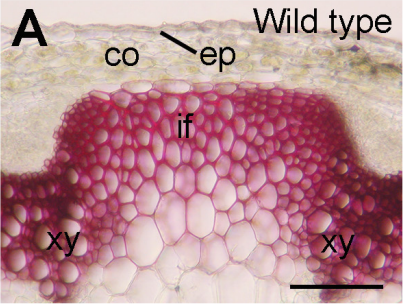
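An outer single row of small flattened cells and several rows of thin-walled, rounded, pale cells beneath it carry no red colour in their walls. Inside them lies a broad band of polygonal cells with thick, deep red walls and clear lumens, cells getting larger toward the inside. At either side the band joins patches of smaller, denser, darker red cells. Innermost are large pale thin-walled cells.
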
